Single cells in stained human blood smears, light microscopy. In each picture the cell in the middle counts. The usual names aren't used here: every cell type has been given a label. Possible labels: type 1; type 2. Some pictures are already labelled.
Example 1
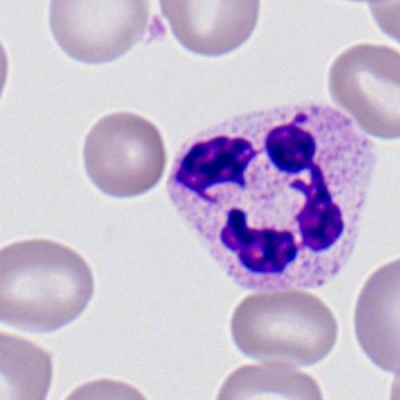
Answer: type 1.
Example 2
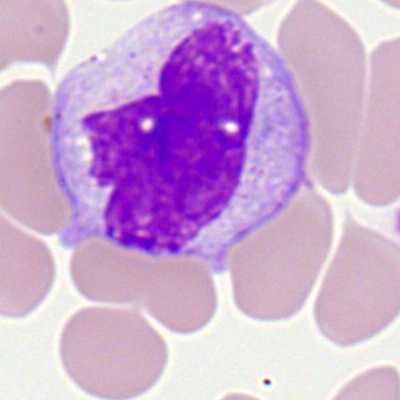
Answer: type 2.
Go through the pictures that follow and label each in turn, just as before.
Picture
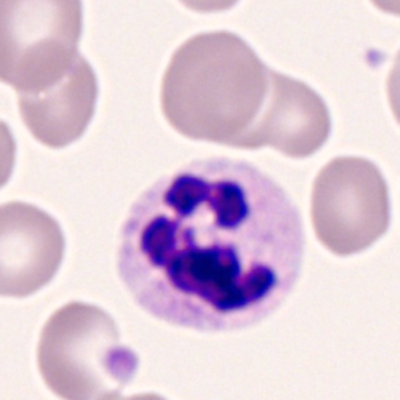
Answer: type 1.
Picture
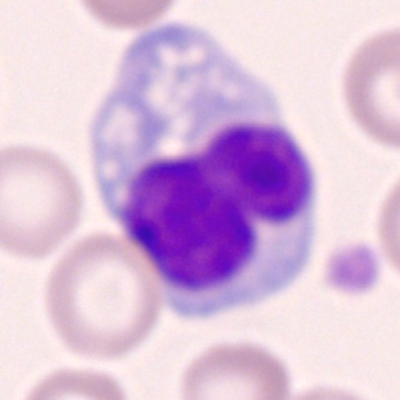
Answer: type 2.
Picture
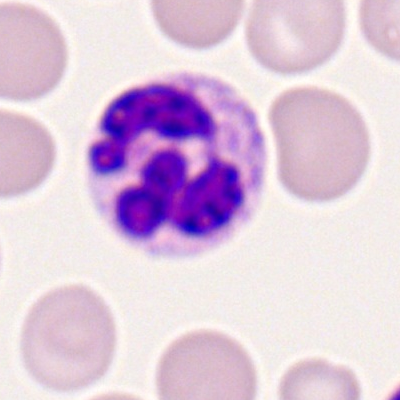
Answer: type 1.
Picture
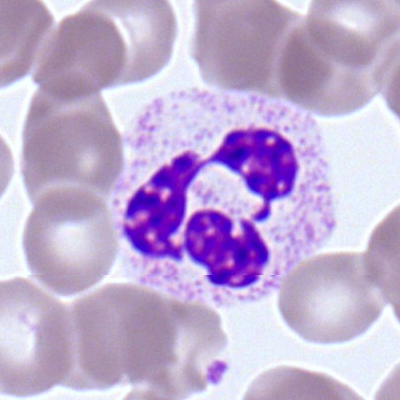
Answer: type 1.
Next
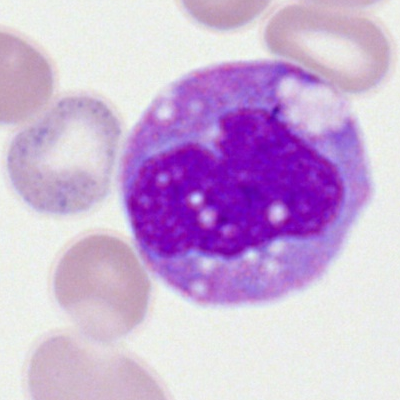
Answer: type 2.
